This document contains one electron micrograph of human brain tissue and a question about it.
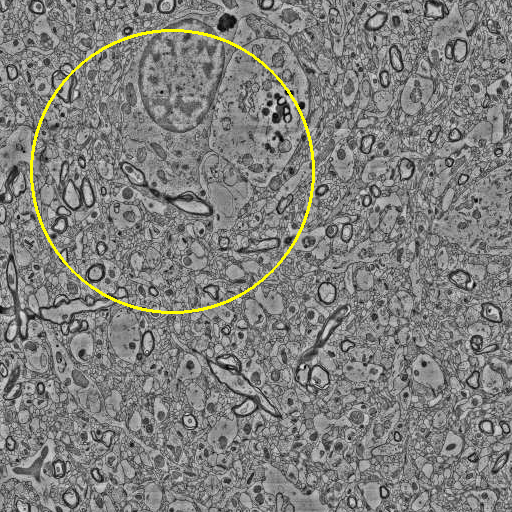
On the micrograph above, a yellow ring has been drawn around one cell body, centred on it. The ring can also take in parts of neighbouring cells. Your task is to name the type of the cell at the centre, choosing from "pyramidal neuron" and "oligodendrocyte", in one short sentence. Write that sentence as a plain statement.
Here the ring is centred on an oligodendrocyte.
